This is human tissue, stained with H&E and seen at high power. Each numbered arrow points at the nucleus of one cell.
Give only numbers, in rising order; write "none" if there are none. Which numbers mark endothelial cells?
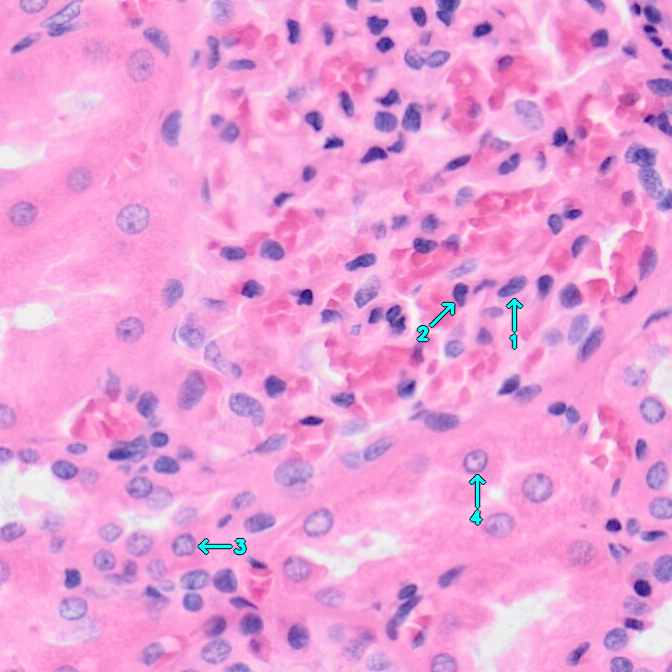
1, 2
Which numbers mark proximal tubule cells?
4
